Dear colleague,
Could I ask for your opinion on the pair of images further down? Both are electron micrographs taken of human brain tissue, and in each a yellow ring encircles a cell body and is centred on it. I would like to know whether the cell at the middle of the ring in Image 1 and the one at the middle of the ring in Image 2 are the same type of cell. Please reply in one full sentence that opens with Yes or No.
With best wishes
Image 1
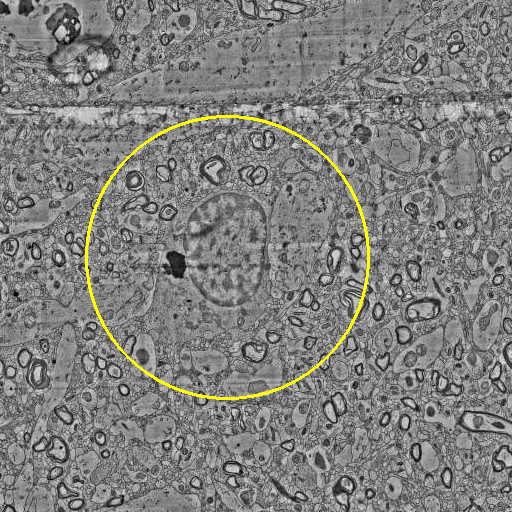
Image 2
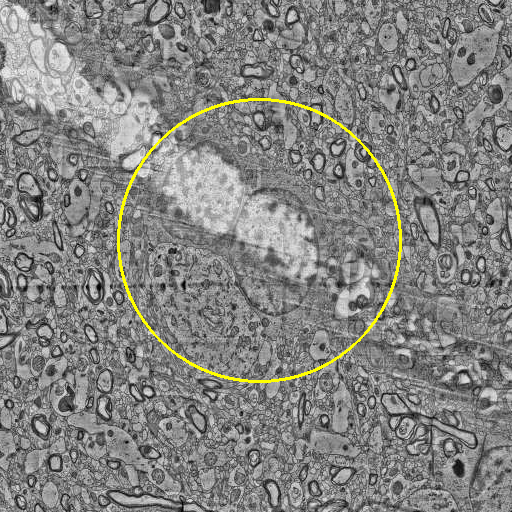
Yes, the cells at the ring centres in Image 1 and Image 2 are of one type.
